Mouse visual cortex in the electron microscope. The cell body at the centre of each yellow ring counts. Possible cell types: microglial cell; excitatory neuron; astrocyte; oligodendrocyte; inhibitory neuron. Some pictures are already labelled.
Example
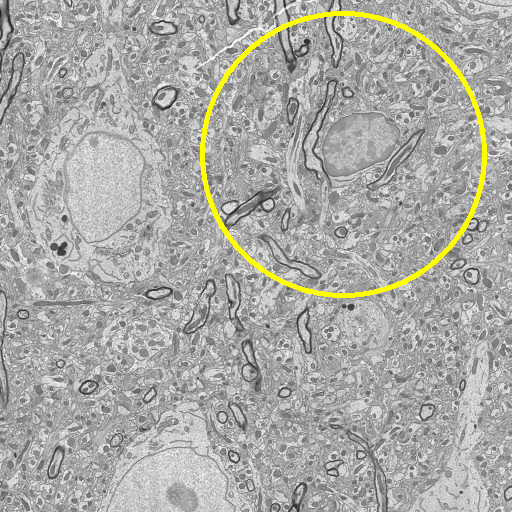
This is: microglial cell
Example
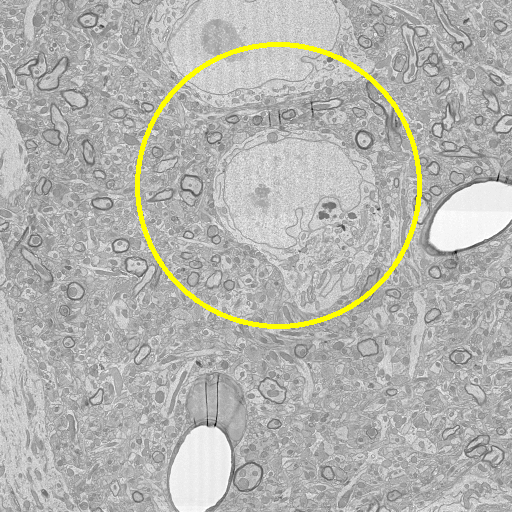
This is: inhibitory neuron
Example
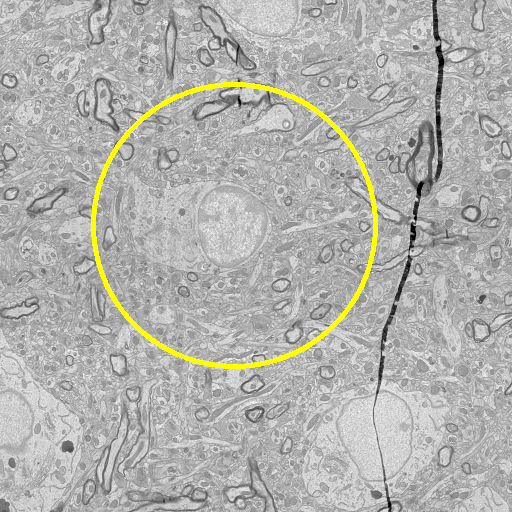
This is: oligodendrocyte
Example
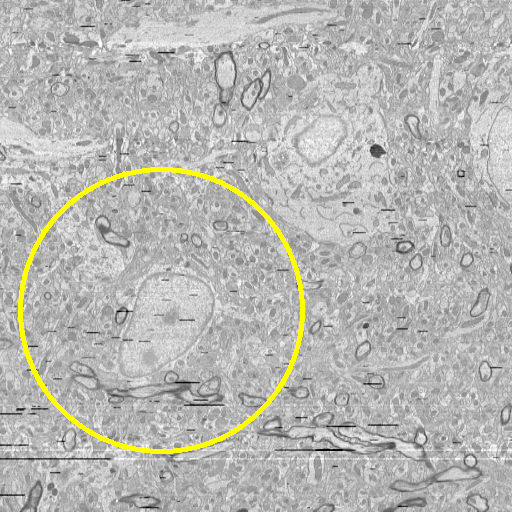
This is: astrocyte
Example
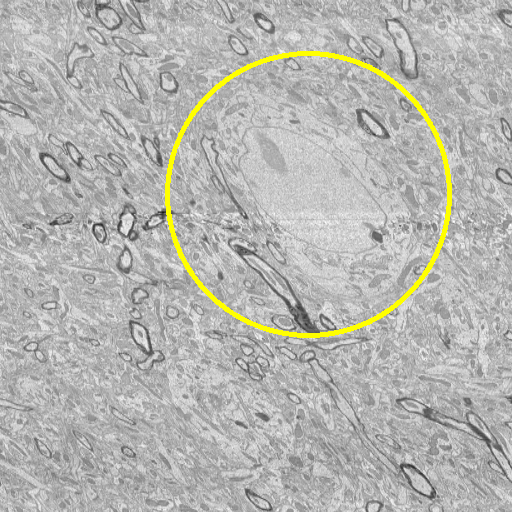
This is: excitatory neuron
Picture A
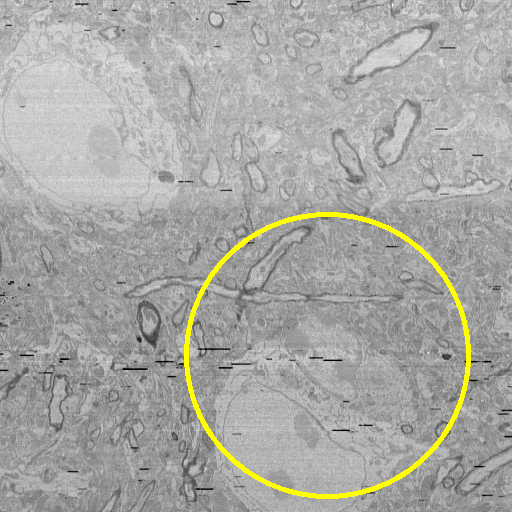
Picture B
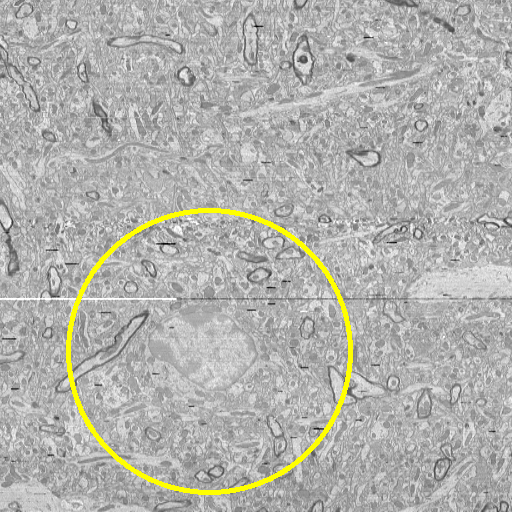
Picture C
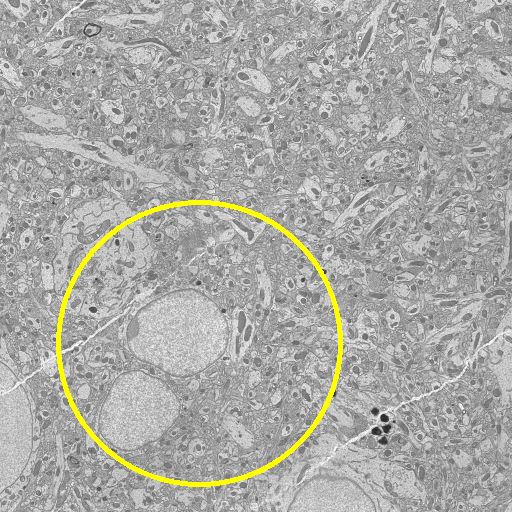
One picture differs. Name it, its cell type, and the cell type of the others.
C: astrocyte; all the others: oligodendrocyte.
